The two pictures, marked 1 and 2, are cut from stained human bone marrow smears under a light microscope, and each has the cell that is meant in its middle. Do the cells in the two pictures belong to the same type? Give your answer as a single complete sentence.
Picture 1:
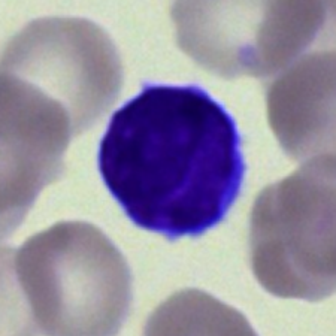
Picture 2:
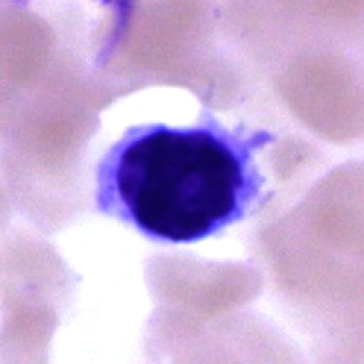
Yes, both are lymphocytes.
